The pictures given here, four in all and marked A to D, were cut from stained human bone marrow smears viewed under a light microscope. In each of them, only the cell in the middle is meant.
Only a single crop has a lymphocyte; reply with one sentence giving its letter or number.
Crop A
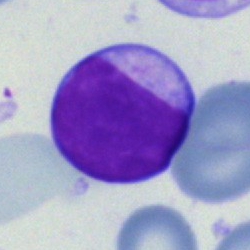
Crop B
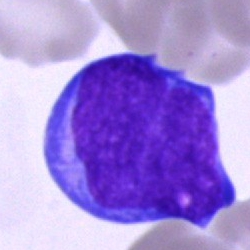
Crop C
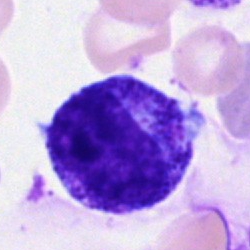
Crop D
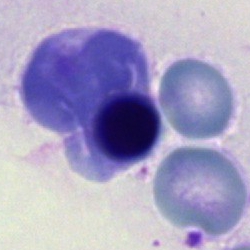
Among these crops, crop A holds a lymphocyte.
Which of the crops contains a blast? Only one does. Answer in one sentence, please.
Crop B is the one depicting a blast.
